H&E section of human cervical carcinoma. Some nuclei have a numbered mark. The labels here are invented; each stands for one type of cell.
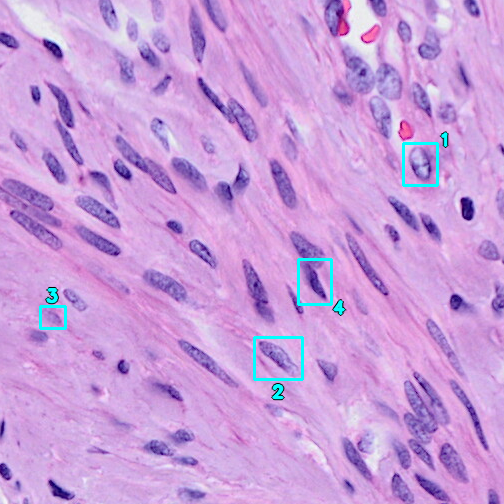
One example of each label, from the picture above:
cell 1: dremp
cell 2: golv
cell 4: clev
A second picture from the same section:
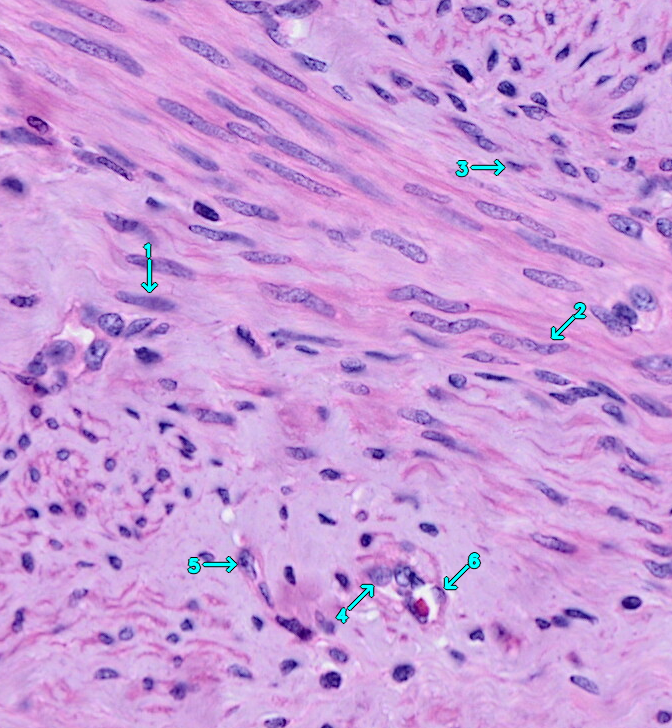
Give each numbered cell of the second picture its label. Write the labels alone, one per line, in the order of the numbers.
clev
golv
golv
dremp
dremp
dremp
